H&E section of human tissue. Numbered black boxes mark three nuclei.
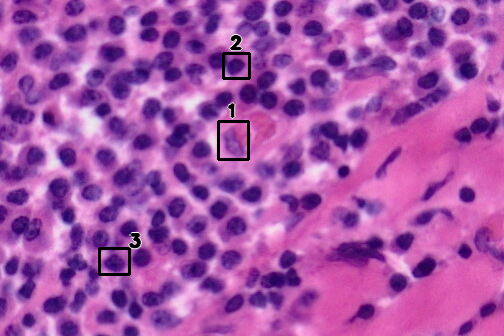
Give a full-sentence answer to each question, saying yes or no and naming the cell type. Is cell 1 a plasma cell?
No, cell 1 is identified not as a plasma cell but as an endothelial cell.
